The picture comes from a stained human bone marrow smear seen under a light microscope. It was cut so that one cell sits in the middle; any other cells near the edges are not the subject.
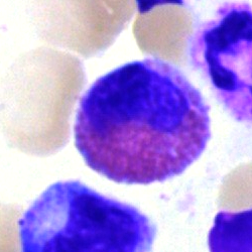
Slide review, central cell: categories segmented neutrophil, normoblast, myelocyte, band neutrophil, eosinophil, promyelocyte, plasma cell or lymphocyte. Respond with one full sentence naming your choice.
Of the cells in this crop, the central one is an eosinophil.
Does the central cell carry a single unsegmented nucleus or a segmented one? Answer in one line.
The nuclear material is gathered into one compact round, oval or kidney-shaped mass.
